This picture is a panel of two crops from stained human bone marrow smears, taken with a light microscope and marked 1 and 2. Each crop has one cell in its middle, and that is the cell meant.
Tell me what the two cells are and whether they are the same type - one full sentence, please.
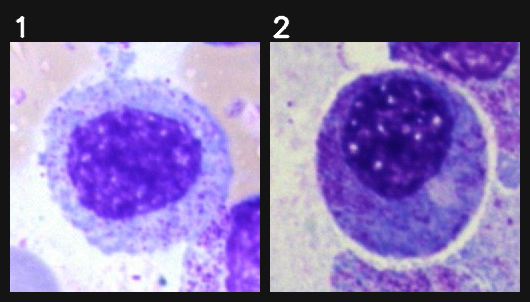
No, cell 1 is a myelocyte, and cell 2 is a promyelocyte.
